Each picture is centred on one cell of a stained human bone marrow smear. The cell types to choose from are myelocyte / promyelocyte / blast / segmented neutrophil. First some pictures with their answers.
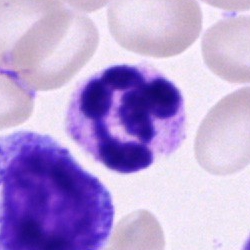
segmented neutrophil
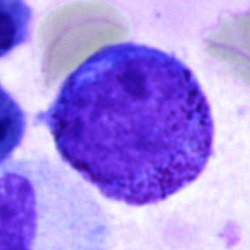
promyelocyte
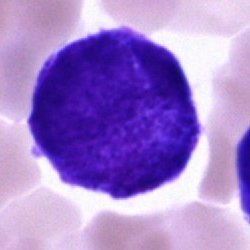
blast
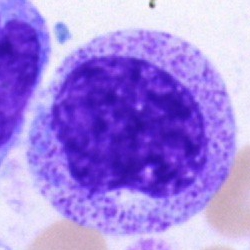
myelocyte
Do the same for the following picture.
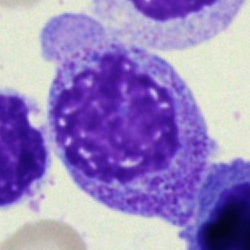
myelocyte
